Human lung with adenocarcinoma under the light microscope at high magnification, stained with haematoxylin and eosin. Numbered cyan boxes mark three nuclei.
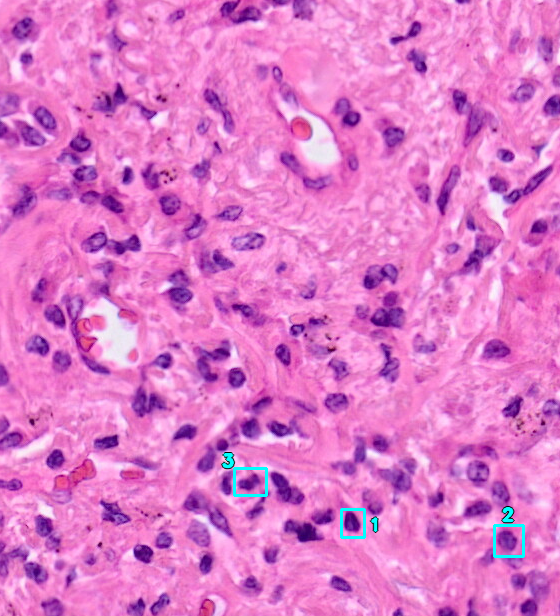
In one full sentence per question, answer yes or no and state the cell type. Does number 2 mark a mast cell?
Yes, the cell carrying number 2 is a mast cell.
